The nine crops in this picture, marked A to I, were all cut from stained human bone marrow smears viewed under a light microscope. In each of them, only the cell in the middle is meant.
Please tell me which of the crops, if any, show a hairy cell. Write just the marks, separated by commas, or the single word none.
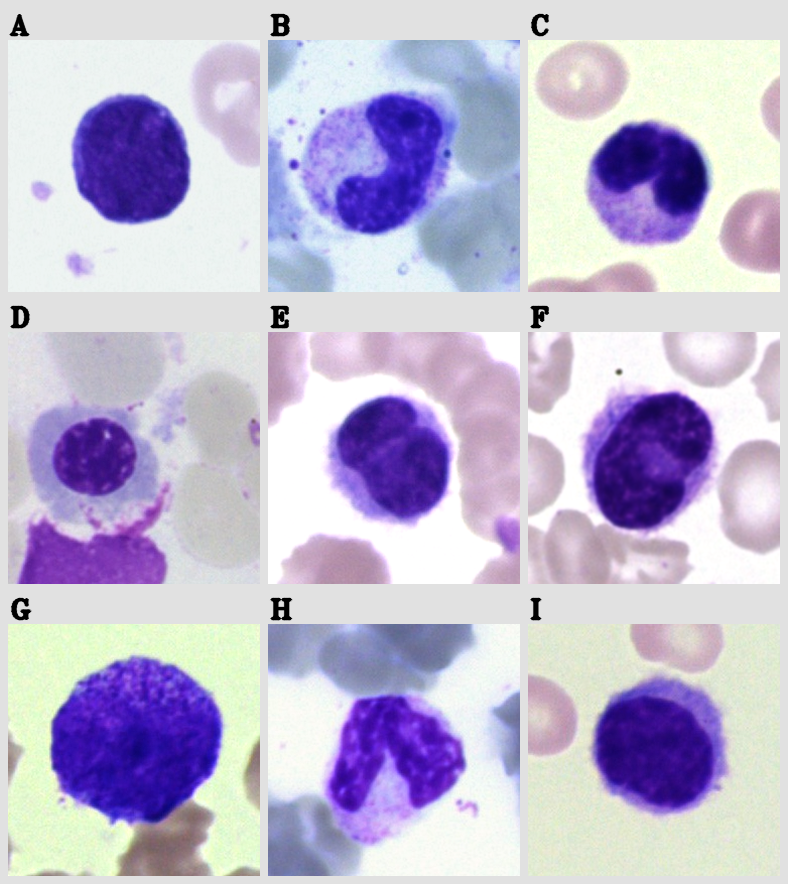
E, F, I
